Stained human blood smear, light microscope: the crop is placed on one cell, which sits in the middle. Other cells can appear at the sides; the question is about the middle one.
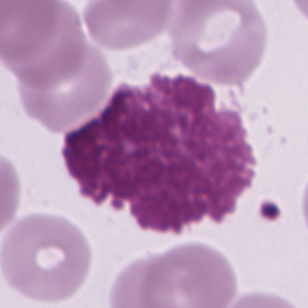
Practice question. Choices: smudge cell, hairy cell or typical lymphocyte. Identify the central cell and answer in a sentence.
Classification of the middle cell gives a smudge cell.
